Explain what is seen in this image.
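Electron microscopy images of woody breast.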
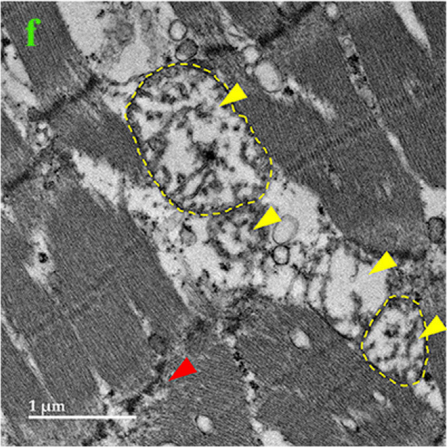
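Striated muscle fibres with myofibrils in sarcomeres lie on either side of a wide, pale gap, and in this gap sit oval mitochondria whose matrix is pale and almost empty, holding only scattered broken membrane fragments. The dark transverse bands of some myofibrils look blurred. These are mitochondria with degraded cristae in skeletal muscle, with Z-line disturbance nearby.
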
